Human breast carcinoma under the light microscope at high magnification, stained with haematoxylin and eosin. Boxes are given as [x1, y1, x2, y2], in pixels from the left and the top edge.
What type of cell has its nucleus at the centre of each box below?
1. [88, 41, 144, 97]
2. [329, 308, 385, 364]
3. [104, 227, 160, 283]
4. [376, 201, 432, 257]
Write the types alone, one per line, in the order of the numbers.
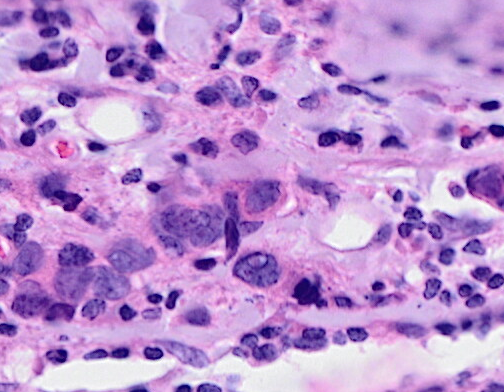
lymphocyte
lymphocyte
carcinoma cell
lymphocyte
